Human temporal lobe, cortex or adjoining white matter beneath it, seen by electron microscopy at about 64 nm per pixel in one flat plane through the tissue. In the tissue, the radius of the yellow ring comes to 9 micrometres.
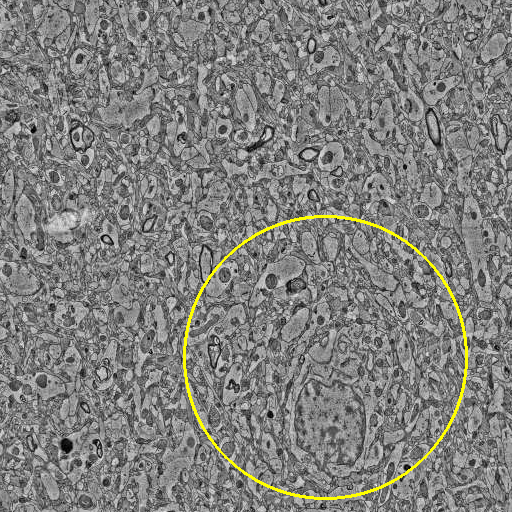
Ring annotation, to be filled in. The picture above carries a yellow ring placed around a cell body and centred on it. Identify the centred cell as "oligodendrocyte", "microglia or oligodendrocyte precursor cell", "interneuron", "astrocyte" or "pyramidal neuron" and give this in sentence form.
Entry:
The cell in the middle of the ring is an interneuron.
